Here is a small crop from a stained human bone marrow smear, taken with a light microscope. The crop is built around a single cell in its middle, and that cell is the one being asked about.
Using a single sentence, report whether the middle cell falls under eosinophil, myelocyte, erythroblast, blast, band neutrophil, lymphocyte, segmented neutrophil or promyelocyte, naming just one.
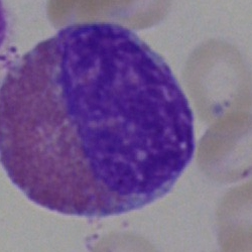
The cell at the middle of the crop is recognized as an eosinophil.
